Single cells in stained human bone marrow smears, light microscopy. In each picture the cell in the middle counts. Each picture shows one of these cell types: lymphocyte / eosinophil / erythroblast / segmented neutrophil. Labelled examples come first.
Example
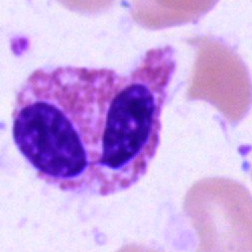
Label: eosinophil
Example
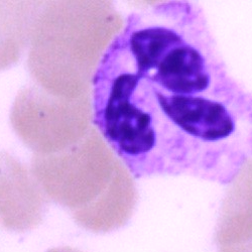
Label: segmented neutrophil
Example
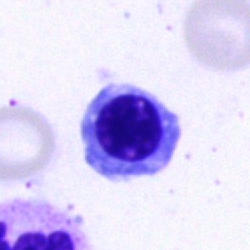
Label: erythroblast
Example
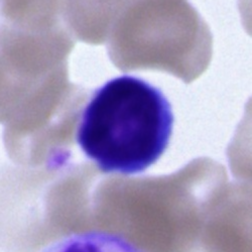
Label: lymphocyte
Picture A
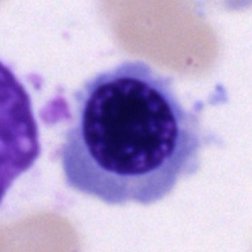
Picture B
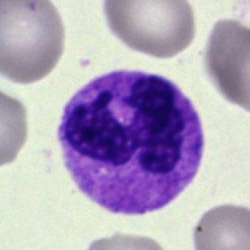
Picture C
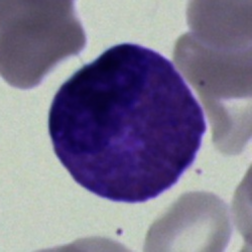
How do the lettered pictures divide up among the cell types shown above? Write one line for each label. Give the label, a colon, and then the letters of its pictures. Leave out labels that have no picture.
eosinophil: C
erythroblast: A
segmented neutrophil: B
